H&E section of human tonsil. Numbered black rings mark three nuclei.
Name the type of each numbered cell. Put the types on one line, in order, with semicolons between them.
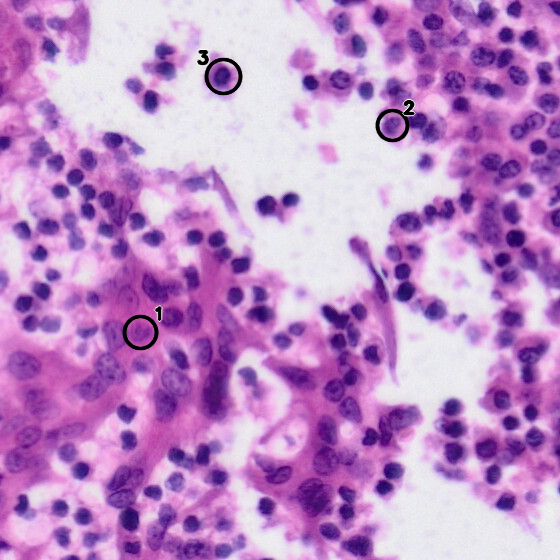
squamous epithelial cell; plasma cell; plasma cell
